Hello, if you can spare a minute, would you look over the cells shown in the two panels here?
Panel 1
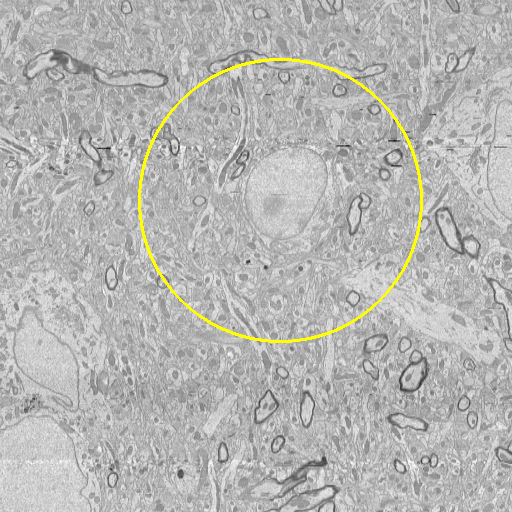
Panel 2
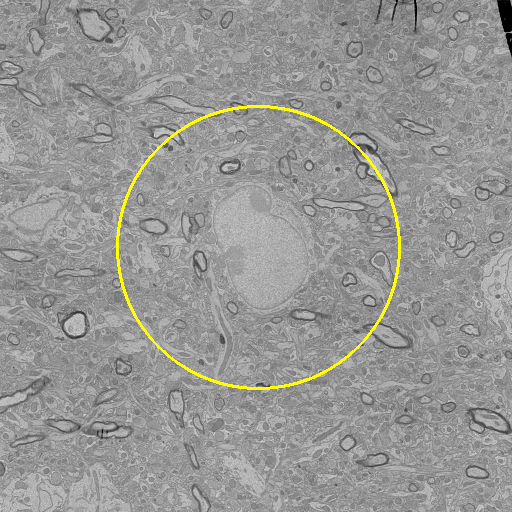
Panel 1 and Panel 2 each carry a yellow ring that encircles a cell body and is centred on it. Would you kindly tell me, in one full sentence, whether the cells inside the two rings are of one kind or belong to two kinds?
The cells at the centres of the rings in Panel 1 and Panel 2 are of one kind.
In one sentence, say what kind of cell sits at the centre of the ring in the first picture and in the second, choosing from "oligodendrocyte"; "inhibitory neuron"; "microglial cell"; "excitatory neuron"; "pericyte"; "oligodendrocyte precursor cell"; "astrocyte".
Each of the two pictures has an astrocyte at the ring centre.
